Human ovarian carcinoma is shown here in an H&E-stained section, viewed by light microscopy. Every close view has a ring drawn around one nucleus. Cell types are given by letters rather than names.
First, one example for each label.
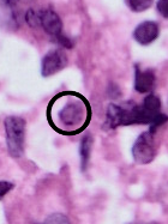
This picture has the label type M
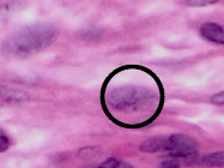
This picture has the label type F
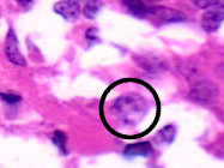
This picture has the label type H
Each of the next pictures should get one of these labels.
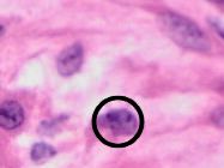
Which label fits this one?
type H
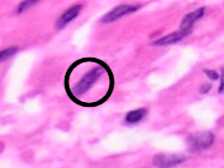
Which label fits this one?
type F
